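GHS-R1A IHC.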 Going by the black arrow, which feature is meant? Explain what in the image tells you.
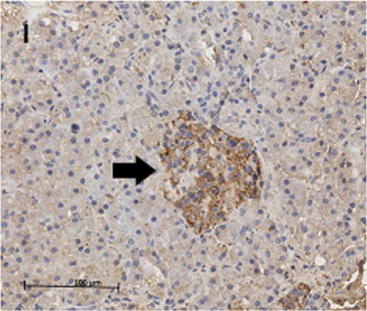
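A rounded cluster of cells stands out from the surrounding acinar tissue. The cluster is stained darker brown than the tissue around it. That points to this answer: pancreatic islets.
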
